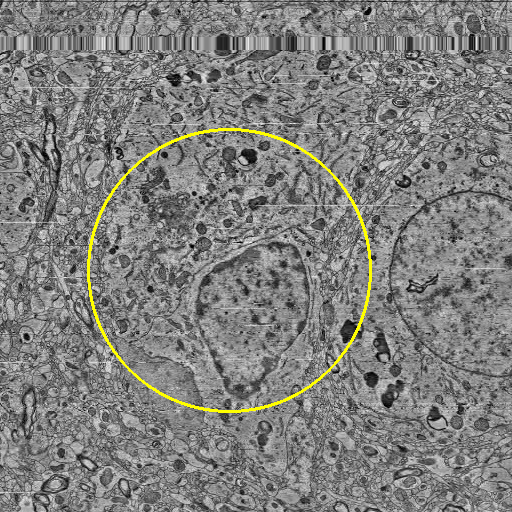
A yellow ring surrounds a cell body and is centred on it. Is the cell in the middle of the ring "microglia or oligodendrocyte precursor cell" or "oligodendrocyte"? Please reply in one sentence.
The ring is centred on a microglial cell or oligodendrocyte precursor cell.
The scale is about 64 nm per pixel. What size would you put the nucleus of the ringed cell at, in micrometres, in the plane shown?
Roughly 10 by 7 micrometres is the size of the nucleus in this plane.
